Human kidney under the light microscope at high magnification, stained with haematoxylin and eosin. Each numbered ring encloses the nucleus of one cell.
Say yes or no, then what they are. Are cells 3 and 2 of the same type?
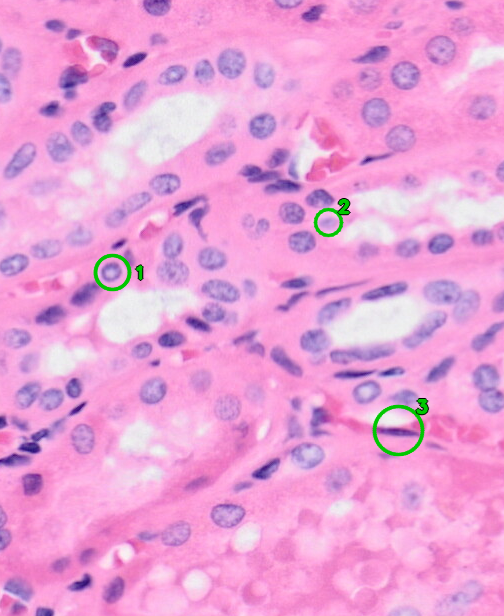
No, mate, cell 3 is an endothelial cell and cell 2 is a loop of Henle or distal tubule cell.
